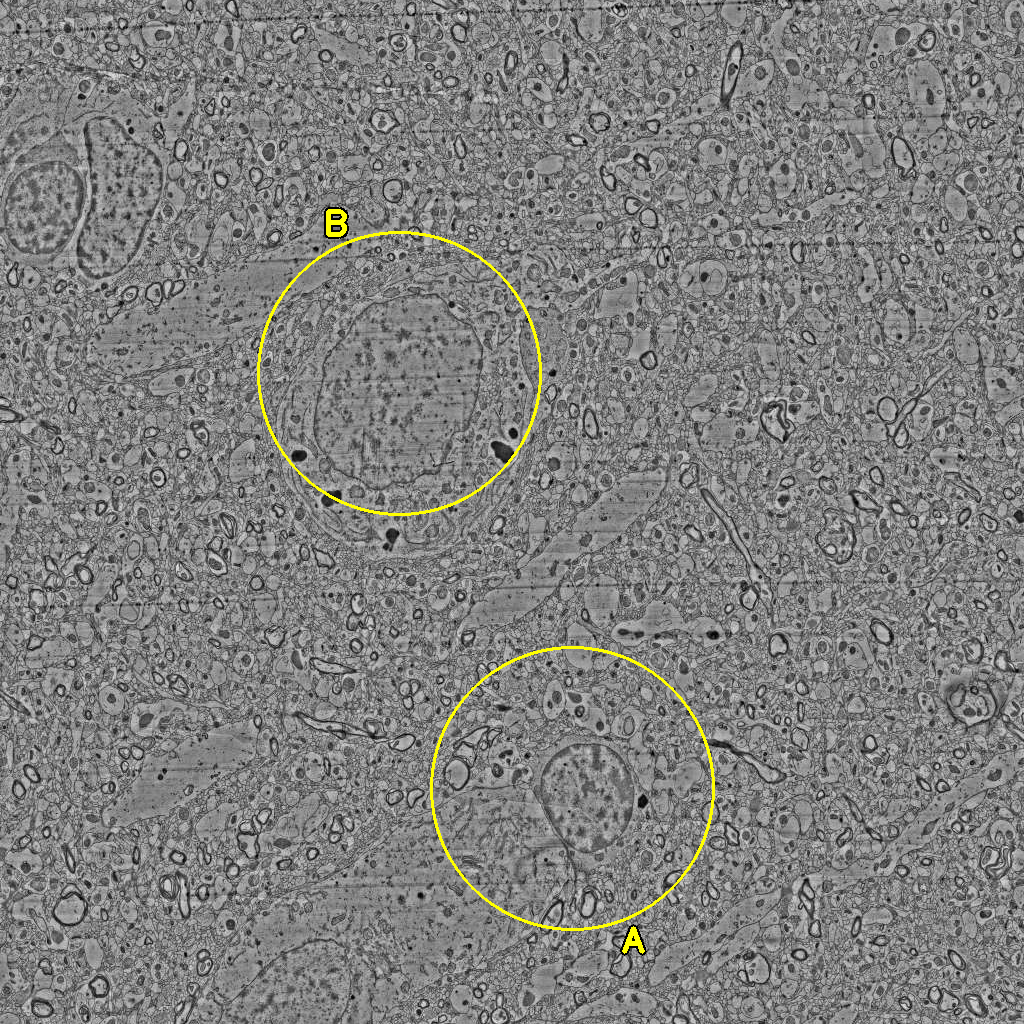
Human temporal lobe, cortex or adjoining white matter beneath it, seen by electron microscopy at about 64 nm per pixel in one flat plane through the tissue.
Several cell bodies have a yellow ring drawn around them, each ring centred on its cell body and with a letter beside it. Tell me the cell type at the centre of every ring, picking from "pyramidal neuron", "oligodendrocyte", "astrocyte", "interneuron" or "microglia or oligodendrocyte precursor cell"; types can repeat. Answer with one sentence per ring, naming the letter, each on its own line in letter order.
In ring A, the central cell is an oligodendrocyte.
In ring B, the central cell is an interneuron.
